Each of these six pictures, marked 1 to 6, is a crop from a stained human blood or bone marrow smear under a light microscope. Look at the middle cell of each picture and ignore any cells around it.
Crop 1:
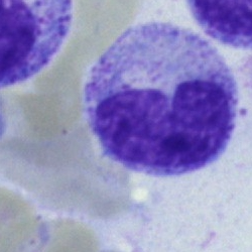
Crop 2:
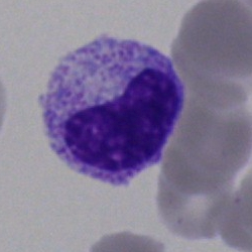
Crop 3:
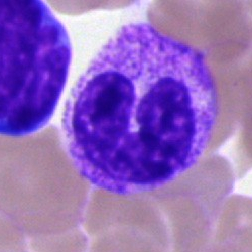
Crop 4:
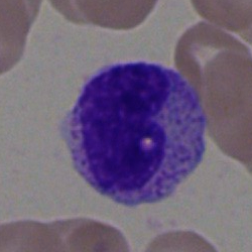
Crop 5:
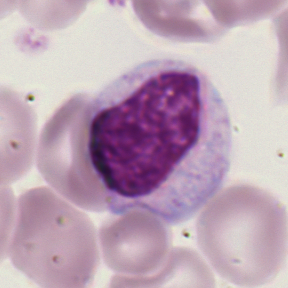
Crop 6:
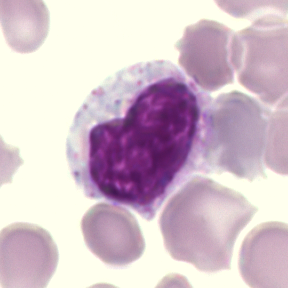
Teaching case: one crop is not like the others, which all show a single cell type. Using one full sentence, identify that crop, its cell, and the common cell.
Crop 3 is not like the others: it is a band neutrophil, and they are metamyelocytes.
